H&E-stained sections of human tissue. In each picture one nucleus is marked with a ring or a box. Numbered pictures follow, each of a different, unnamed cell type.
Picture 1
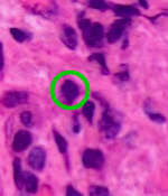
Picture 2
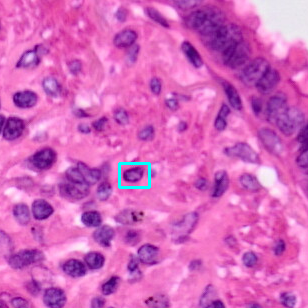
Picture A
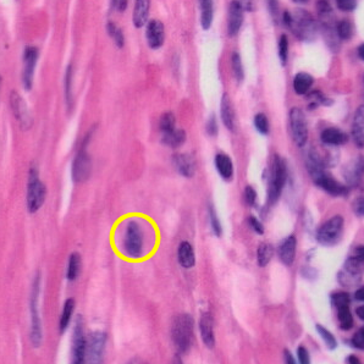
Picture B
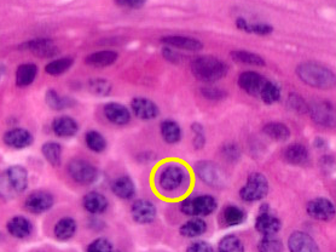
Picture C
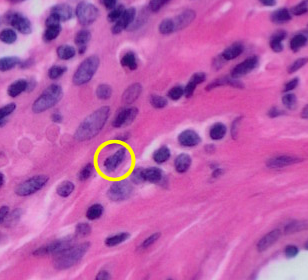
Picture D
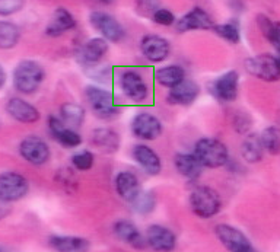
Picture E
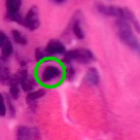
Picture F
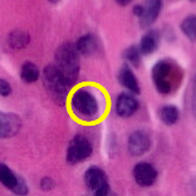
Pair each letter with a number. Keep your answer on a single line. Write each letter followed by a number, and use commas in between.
A 2, B 1, C 2, D 1, E 1, F 1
